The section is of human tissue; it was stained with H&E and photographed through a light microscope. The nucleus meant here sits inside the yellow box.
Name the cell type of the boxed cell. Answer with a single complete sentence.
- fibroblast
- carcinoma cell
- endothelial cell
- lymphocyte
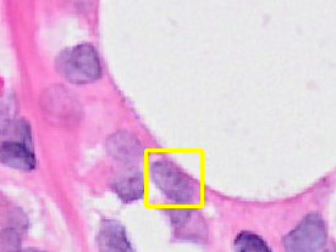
The classification of the boxed cell is as a carcinoma cell.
